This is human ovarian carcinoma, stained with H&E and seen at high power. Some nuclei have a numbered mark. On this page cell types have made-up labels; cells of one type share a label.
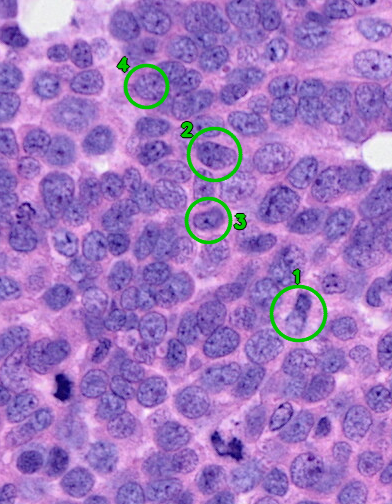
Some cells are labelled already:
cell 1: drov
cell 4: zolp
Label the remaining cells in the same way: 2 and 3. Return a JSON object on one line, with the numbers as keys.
{"2": "zolp", "3": "drov"}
